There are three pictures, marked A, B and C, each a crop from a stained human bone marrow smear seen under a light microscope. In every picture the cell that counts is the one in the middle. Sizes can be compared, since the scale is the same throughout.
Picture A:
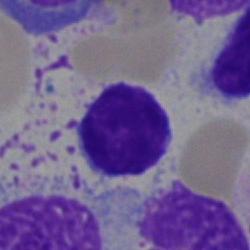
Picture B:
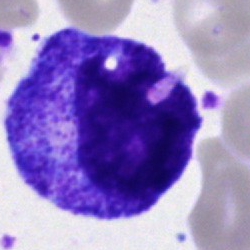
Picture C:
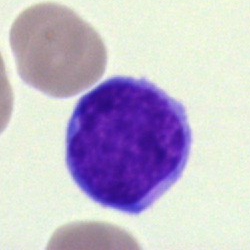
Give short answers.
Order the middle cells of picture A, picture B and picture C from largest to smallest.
B, C, A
